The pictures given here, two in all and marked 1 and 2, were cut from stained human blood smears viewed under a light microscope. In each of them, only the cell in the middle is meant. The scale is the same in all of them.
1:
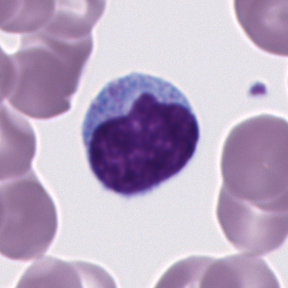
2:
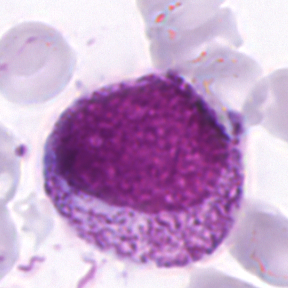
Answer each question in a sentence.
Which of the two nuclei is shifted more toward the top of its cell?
The nucleus in crop 2 lies further toward the top of its cell.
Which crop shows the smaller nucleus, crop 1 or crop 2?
It is the nucleus in crop 1; the one in crop 2 has about 2.5 times its area.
